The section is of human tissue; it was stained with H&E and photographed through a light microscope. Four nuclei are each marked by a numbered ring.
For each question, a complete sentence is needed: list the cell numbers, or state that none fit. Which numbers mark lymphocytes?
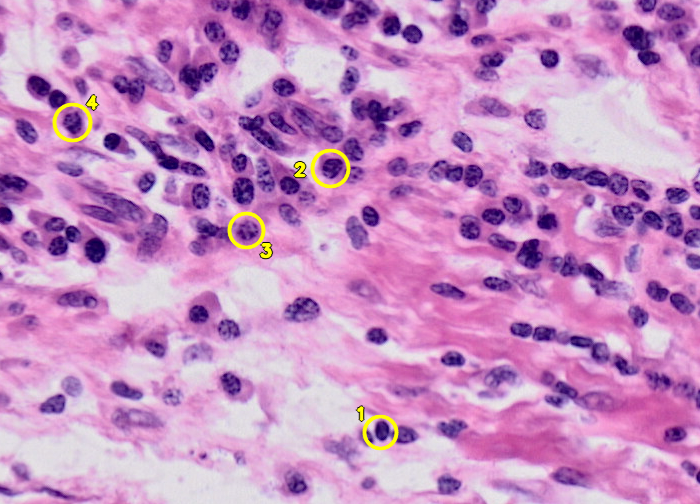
Cell 1 is a lymphocyte; no further numbered cell is.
